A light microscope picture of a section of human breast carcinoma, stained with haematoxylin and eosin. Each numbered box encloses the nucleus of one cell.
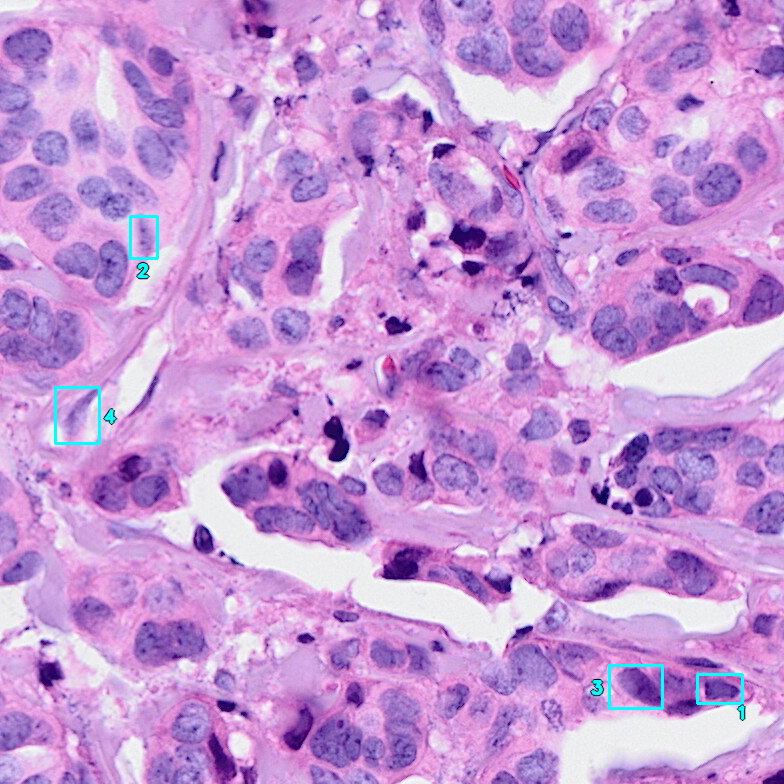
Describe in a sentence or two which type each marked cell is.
Cells 1, 2 and 3 are carcinoma cells. Cell 4 is a fibroblast.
